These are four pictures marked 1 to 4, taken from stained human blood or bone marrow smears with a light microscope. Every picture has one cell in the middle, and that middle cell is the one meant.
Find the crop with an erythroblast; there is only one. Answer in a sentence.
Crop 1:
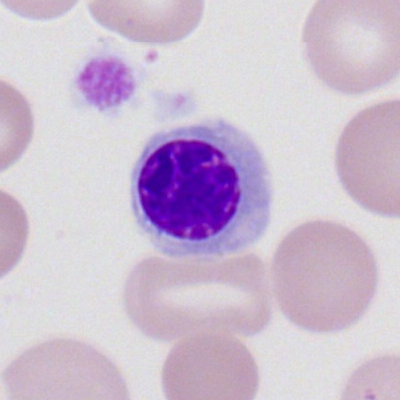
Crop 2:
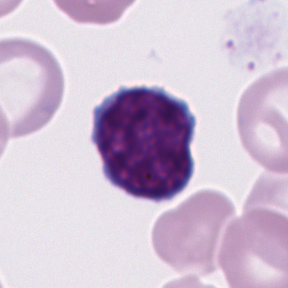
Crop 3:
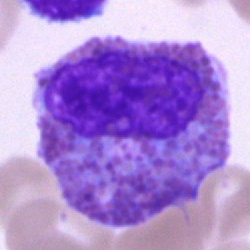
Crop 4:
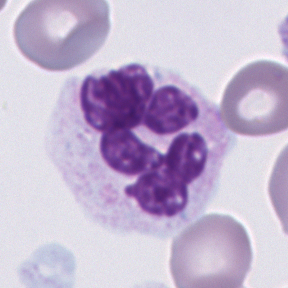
Crop 1 alone, of all the crops, shows an erythroblast.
